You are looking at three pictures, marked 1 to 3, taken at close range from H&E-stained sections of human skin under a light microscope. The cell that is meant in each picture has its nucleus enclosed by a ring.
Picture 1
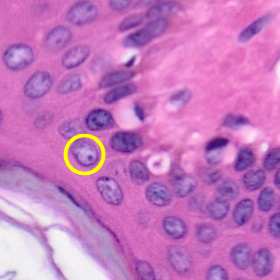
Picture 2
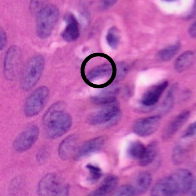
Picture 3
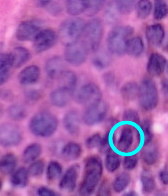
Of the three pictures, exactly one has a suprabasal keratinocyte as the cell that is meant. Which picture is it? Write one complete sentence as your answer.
Picture 1 is the one that shows the suprabasal keratinocyte.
